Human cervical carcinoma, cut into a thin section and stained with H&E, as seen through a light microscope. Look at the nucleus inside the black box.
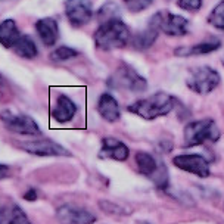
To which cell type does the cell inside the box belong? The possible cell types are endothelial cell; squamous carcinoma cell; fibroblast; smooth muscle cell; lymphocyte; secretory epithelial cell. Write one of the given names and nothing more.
lymphocyte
